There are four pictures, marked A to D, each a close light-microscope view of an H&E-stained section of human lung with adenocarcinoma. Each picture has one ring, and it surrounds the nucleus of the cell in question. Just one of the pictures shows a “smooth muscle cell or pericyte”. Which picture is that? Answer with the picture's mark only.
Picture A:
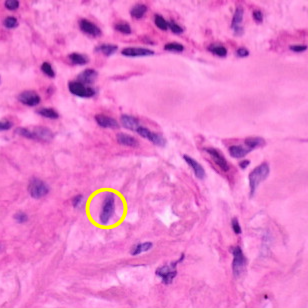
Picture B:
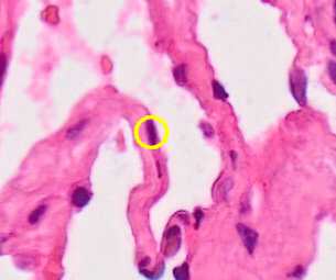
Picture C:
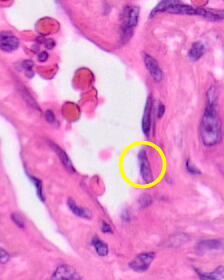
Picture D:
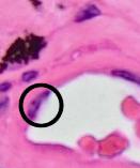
A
